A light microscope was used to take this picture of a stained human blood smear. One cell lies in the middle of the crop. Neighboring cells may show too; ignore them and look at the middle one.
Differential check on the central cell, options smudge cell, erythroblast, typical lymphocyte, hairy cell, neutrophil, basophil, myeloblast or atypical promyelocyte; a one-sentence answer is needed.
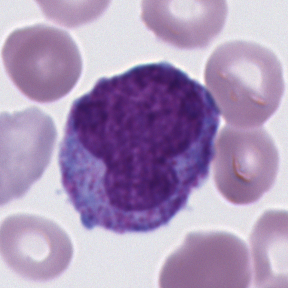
Here the cell in the middle is an atypical promyelocyte.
